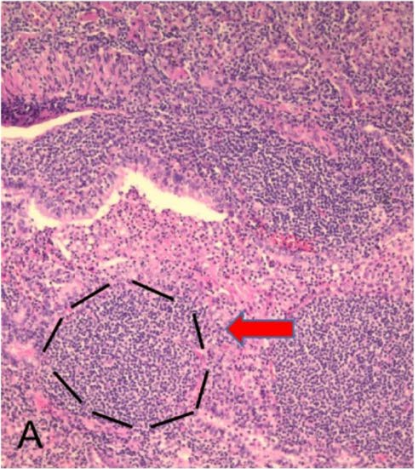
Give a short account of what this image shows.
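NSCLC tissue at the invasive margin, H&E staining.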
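The outlined aggregate is made of closely packed cells with small, round, dark purple nuclei and scant cytoplasm. Similar dark lymphoid aggregates lie nearby, one elongated band running beneath an epithelium-lined space. Between the aggregates lies paler pink stroma with scattered cells and small vessels.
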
